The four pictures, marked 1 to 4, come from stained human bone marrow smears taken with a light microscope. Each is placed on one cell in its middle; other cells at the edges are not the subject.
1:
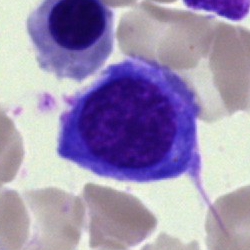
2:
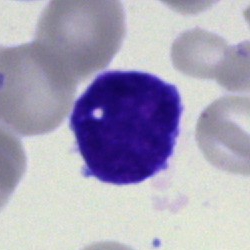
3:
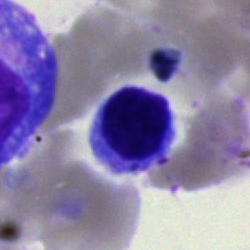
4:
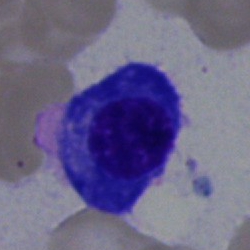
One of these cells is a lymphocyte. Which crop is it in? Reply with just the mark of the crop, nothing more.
3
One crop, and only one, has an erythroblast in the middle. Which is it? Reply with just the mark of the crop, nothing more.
1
